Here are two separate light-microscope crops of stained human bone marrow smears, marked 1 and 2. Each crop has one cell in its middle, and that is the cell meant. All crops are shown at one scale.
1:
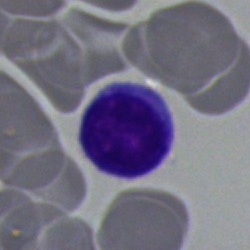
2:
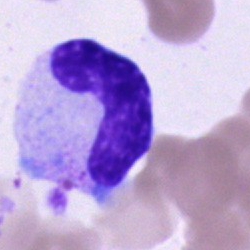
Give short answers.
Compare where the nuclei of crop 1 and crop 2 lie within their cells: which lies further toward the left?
1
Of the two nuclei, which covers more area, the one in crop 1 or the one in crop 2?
2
